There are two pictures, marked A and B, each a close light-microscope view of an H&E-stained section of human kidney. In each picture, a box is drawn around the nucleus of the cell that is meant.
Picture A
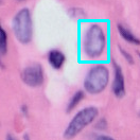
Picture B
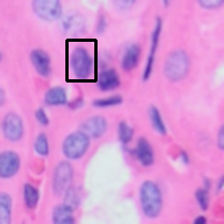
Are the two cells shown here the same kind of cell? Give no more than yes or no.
yes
